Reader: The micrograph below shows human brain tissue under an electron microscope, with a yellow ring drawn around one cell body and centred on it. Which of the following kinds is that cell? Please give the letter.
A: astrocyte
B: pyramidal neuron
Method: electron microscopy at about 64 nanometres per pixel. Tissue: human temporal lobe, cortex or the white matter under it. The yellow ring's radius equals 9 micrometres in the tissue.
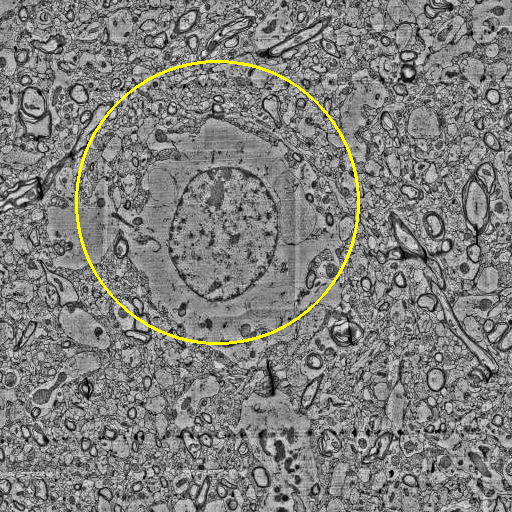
A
